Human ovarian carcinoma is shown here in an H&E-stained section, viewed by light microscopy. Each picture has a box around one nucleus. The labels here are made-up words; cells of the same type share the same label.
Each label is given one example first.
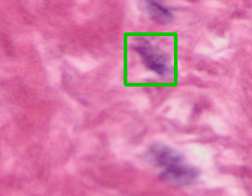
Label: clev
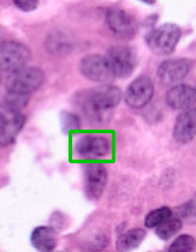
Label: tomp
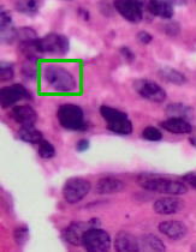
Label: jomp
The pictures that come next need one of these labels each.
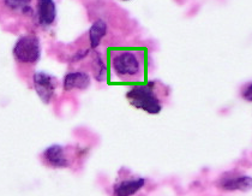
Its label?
jomp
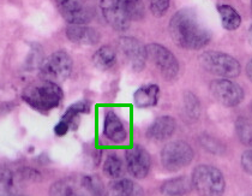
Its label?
tomp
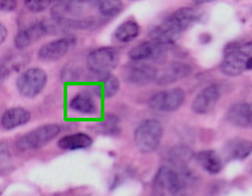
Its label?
tomp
